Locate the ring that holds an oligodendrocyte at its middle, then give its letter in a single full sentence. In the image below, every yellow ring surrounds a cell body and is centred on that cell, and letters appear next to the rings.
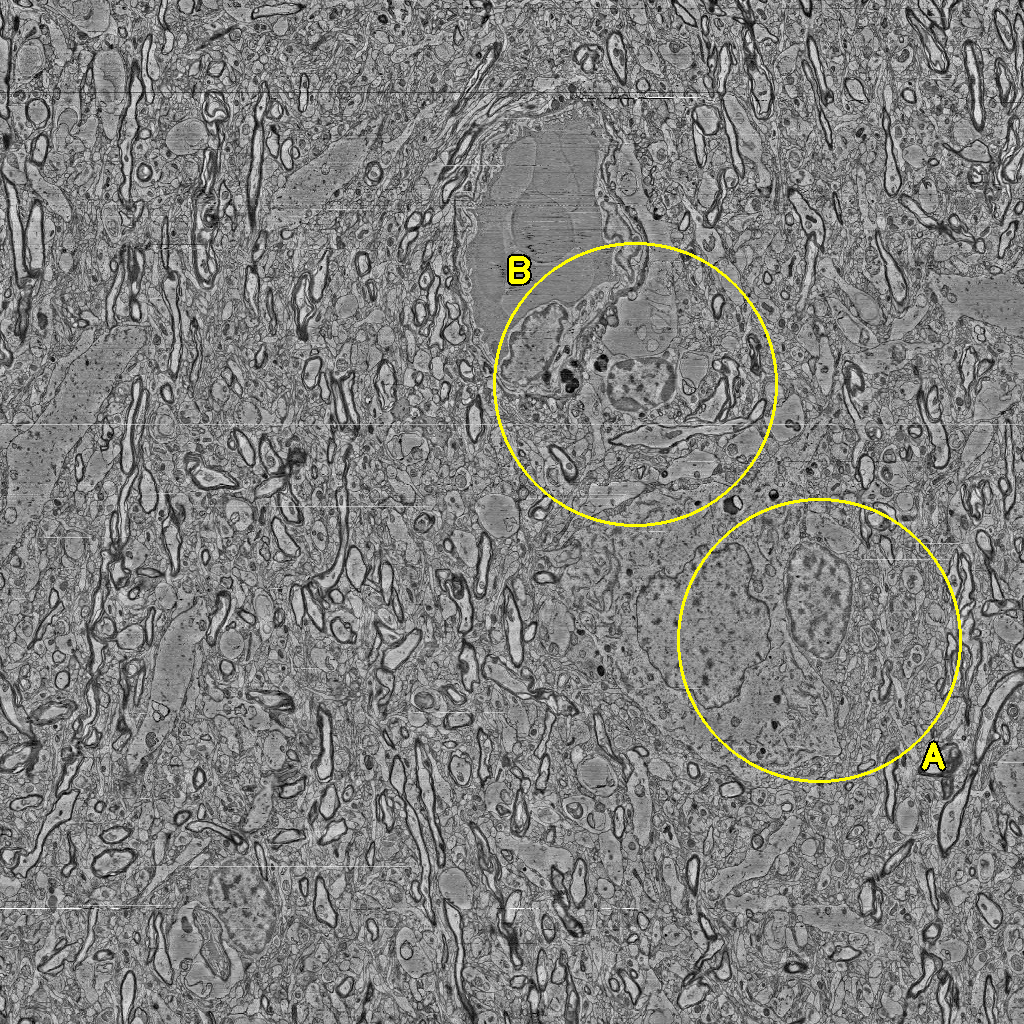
Ring A is the one centred on that kind of cell in the image.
